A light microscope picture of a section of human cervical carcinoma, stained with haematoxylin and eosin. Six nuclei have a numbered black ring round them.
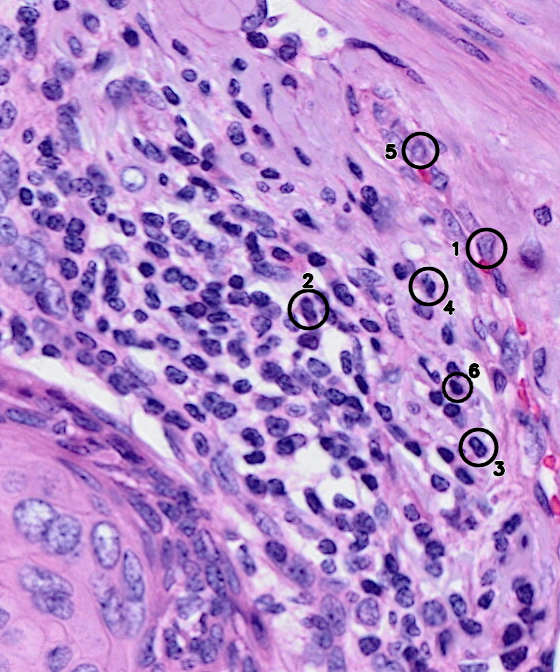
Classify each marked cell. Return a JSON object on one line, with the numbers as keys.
{"1": "endothelial cell", "2": "lymphocyte", "3": "lymphocyte", "4": "lymphocyte", "5": "endothelial cell", "6": "lymphocyte"}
